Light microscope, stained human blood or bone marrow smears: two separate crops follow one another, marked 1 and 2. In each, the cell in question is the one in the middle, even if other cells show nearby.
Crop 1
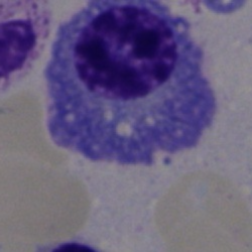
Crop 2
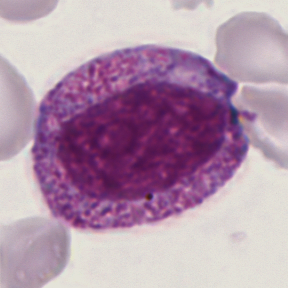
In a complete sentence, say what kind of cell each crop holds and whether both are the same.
No, in fact crop 1 shows a plasma cell, and crop 2 shows a promyelocyte.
